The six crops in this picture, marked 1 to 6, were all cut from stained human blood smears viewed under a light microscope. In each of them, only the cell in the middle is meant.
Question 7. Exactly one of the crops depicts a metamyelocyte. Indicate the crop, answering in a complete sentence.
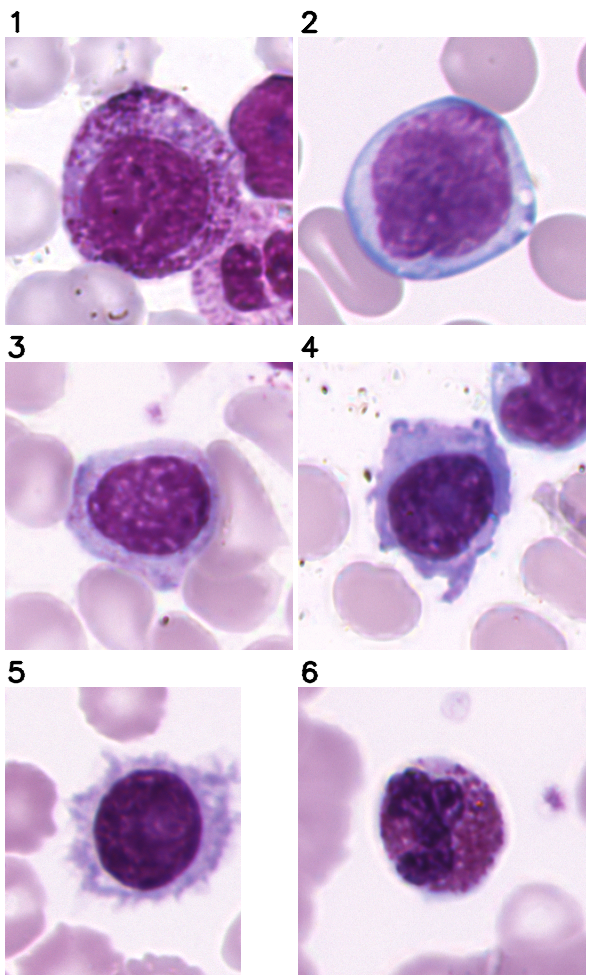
Crop 3 is the one in this set that shows a metamyelocyte.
